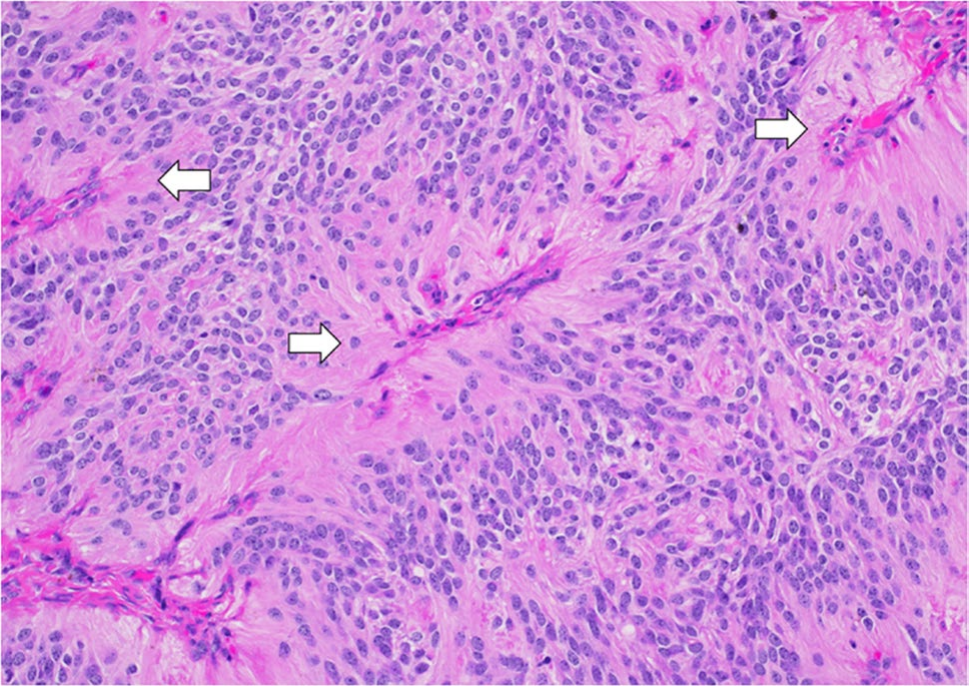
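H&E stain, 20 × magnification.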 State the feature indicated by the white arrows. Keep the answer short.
perivascular pseudorosettes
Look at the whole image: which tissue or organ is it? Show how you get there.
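Sheets of densely packed uniform tumor cells. Numerous perivascular nucleus-free fibrillary zones throughout. Fibrillary pink background between cells.
Ependymoma.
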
